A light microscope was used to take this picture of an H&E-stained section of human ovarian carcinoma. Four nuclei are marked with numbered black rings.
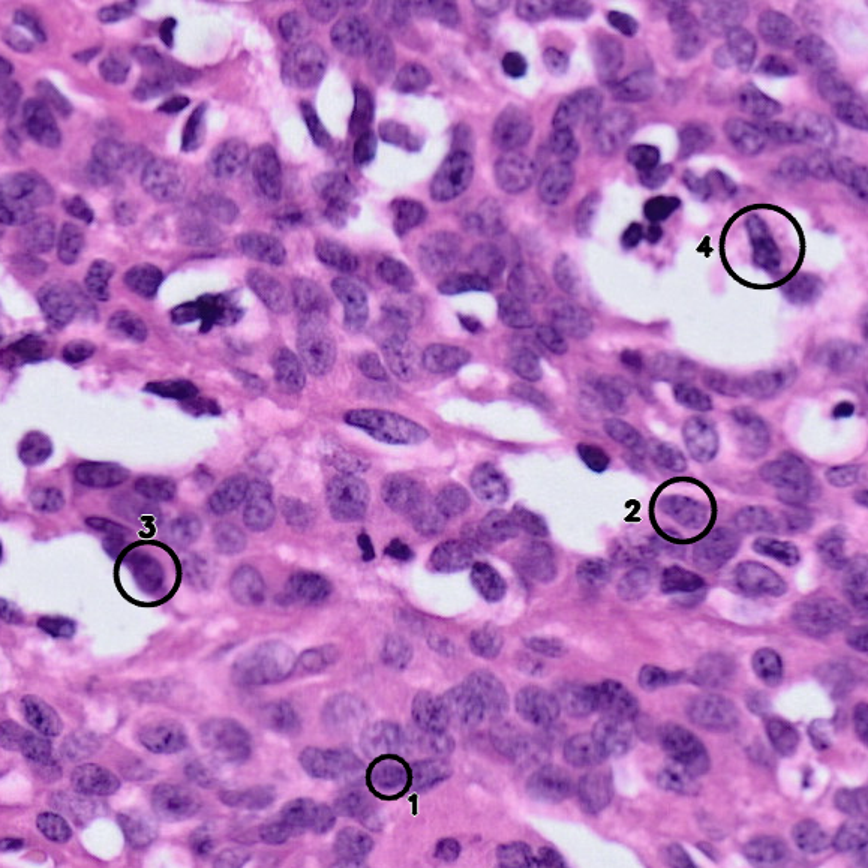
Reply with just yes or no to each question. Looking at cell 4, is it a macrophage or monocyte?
yes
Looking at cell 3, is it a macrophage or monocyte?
no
